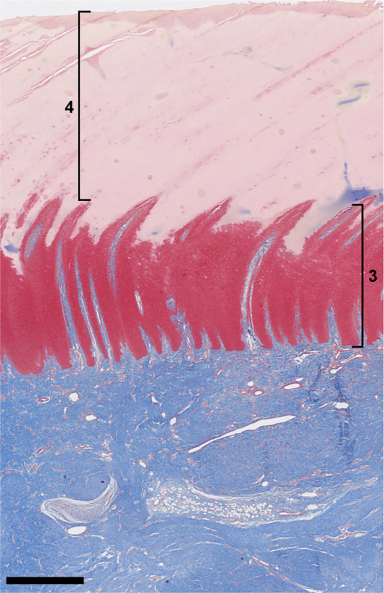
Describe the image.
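This section of volar skin is dominated by an enormously thick epidermis. The deeper living part stains bright red. It sends long, slanted ridges down into the blue-stained dermis, so the two tissues interlock like teeth of a comb. Above it lies a massive, pale pink stratum corneum. It is compact and homogeneous, crossed only by fine oblique streaks rather than split into loose sheets. The dermis below is dense blue collagen with scattered small vessels. Toward the bottom, some larger structures and a patch of pale, lacy tissue are embedded in the connective tissue.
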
